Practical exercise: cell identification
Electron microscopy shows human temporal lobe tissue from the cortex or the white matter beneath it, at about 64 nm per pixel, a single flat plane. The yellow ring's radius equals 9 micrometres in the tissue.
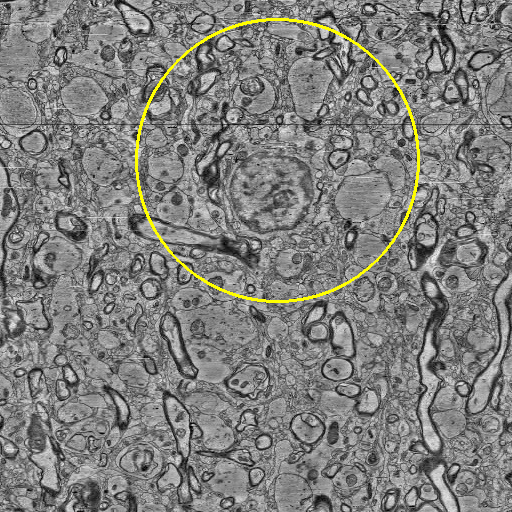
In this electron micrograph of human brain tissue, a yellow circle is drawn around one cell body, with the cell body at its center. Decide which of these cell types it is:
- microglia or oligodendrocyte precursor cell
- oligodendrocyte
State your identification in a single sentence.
The ringed cell is an oligodendrocyte.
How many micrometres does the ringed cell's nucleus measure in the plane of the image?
The nucleus comes to roughly 5 micrometres across in this plane.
